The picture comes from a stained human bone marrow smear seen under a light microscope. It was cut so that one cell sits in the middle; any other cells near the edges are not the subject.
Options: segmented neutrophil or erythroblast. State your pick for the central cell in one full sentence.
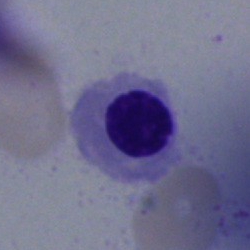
The cell at the middle of the crop is recognized as an erythroblast.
